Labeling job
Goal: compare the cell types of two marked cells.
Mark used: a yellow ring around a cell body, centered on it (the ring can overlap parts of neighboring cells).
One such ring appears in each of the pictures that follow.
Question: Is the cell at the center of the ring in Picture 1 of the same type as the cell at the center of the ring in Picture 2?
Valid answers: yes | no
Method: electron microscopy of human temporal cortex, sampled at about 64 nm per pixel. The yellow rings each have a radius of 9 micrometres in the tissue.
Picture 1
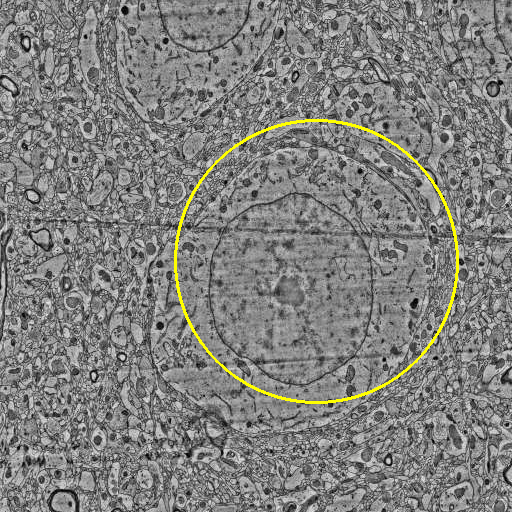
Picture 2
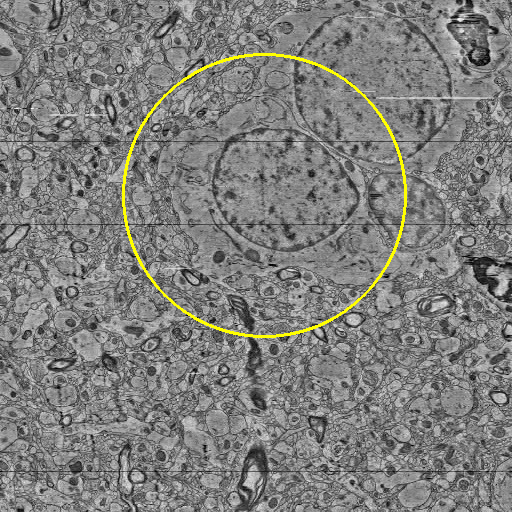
no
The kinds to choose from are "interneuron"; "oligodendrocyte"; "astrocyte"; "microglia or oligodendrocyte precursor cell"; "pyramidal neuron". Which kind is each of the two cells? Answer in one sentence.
Of the two, the first cell is a pyramidal neuron and the second cell is an astrocyte.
